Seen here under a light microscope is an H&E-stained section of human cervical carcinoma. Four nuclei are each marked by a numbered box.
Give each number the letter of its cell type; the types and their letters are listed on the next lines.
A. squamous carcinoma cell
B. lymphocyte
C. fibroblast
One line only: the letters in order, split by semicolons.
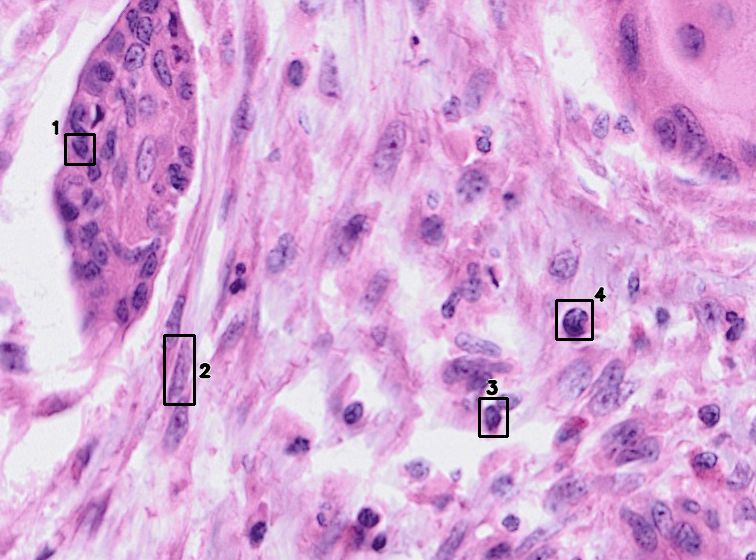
A; C; B; B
